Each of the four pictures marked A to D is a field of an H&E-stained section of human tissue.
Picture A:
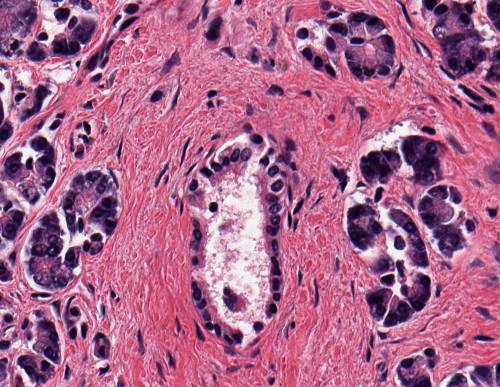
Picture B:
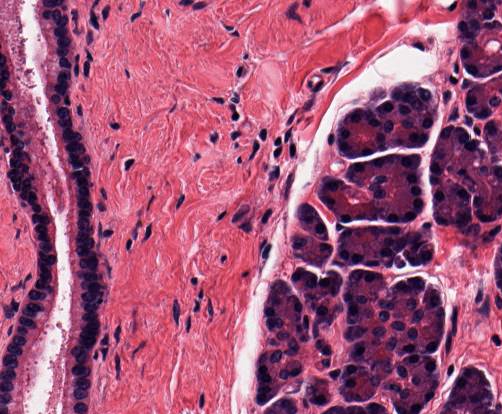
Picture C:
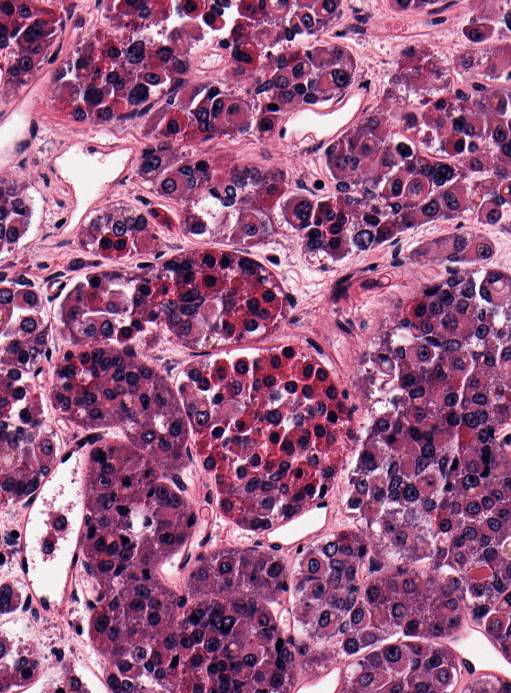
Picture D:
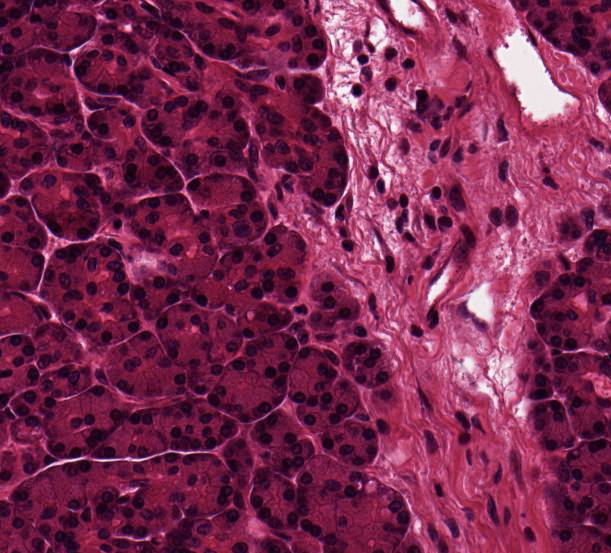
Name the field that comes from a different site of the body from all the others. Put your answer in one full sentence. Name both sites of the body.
All pictures except C come from the pancreas; picture C comes from the pituitary.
